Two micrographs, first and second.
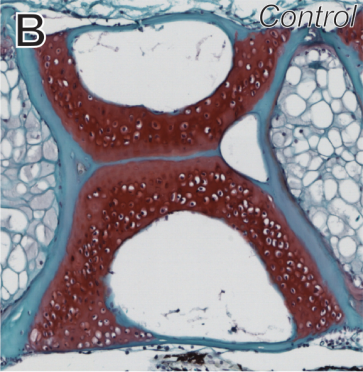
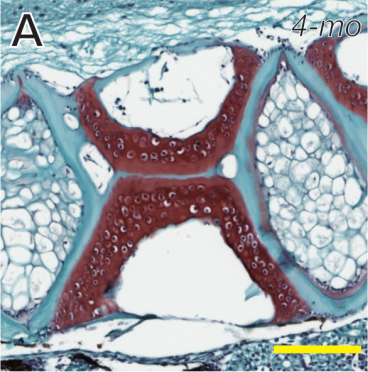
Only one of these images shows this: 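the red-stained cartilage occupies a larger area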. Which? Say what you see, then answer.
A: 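First image: the red-stained cartilage forms broad, thick bands filling much of the field. Second image: the red-stained bands are narrower around the central clear spaces. On this evidence: the first image.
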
